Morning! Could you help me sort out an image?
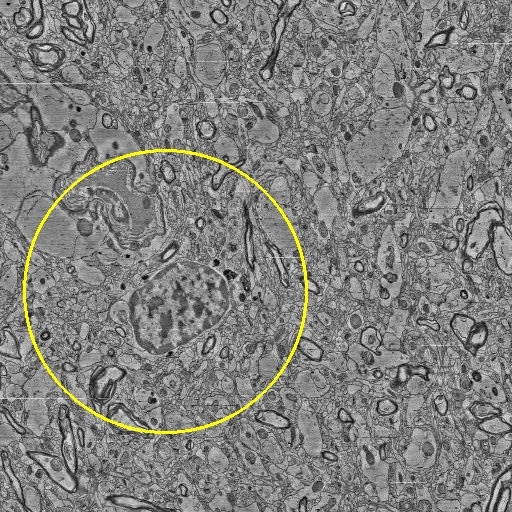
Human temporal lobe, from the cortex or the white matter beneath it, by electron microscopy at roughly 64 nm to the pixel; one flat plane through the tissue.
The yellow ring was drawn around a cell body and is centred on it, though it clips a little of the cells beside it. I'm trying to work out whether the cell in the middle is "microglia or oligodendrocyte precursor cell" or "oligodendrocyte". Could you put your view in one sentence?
The ringed cell body is that of a microglial cell or oligodendrocyte precursor cell.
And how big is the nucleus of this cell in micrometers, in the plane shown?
The ringed cell's nucleus is about 7 micrometres long and 5 micrometres wide in this plane.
